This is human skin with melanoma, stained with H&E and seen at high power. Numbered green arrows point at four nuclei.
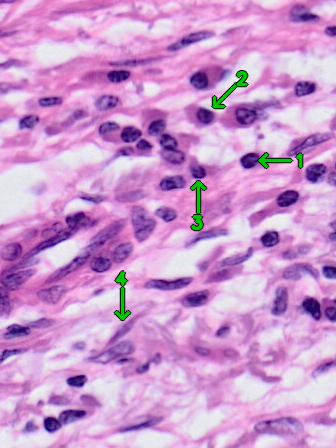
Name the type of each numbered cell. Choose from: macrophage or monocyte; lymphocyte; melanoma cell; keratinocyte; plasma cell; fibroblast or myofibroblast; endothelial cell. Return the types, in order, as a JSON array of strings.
["plasma cell", "plasma cell", "plasma cell", "fibroblast or myofibroblast"]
